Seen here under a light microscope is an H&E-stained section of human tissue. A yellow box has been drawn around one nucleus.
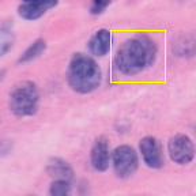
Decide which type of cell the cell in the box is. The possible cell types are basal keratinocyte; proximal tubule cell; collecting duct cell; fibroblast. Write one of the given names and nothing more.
collecting duct cell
